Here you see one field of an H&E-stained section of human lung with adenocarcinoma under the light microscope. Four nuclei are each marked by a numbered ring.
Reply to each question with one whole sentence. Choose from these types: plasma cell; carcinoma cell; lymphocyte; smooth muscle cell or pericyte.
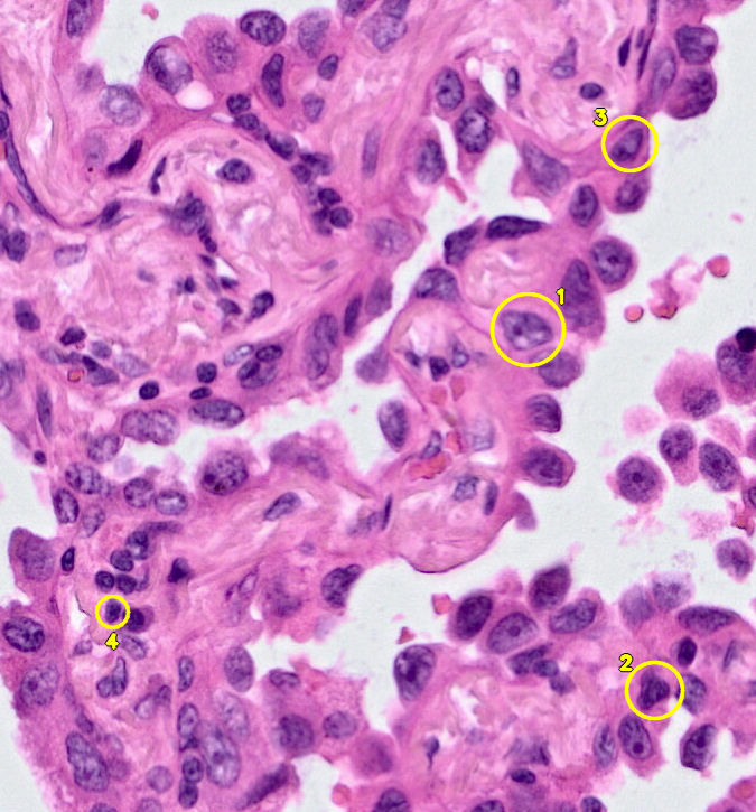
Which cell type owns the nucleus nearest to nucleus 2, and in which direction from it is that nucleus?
The closest nucleus belongs to a carcinoma cell and sits to the right of nucleus 2.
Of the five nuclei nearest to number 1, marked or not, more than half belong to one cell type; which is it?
Around number 1, most of the five nearest nuclei are those of carcinoma cells.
